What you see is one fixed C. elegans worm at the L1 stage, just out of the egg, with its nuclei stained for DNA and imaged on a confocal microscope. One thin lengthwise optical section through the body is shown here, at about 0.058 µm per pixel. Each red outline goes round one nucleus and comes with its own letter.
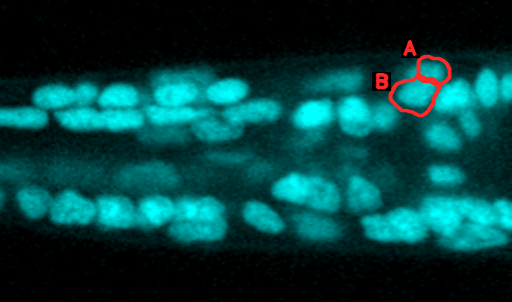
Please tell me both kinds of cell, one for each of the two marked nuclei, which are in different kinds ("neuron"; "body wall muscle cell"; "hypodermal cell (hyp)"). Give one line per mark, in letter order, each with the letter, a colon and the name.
A: hypodermal cell (hyp)
B: neuron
